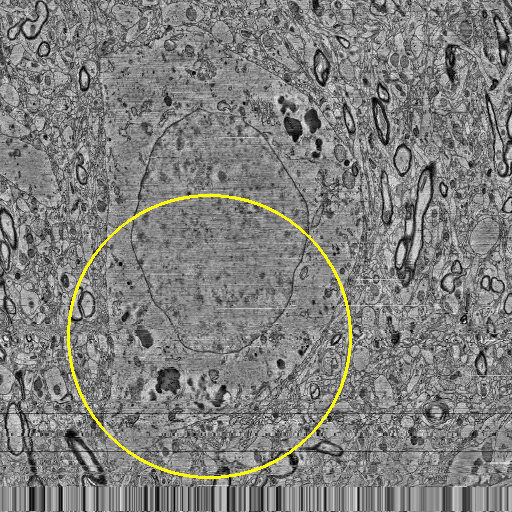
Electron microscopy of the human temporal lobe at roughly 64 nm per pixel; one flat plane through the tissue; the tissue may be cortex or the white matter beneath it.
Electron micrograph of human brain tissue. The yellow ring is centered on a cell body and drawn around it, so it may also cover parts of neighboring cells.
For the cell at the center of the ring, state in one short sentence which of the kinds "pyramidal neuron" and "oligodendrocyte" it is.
This ring is centered on a pyramidal neuron.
